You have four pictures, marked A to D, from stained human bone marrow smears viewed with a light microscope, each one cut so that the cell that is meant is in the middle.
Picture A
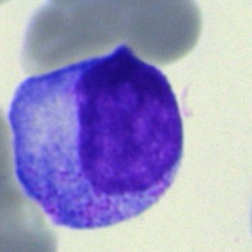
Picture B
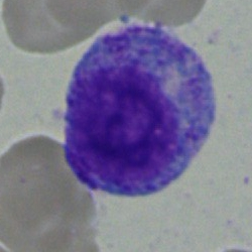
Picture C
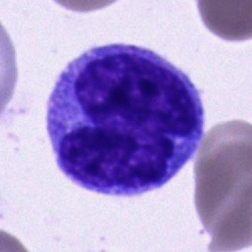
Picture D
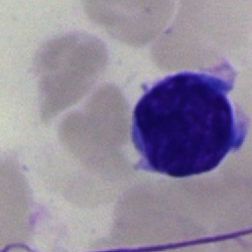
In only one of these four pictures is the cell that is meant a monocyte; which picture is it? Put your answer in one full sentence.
The cell in picture C is the monocyte.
